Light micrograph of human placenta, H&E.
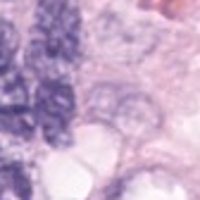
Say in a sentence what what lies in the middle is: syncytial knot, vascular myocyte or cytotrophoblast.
This is a cytotrophoblast.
